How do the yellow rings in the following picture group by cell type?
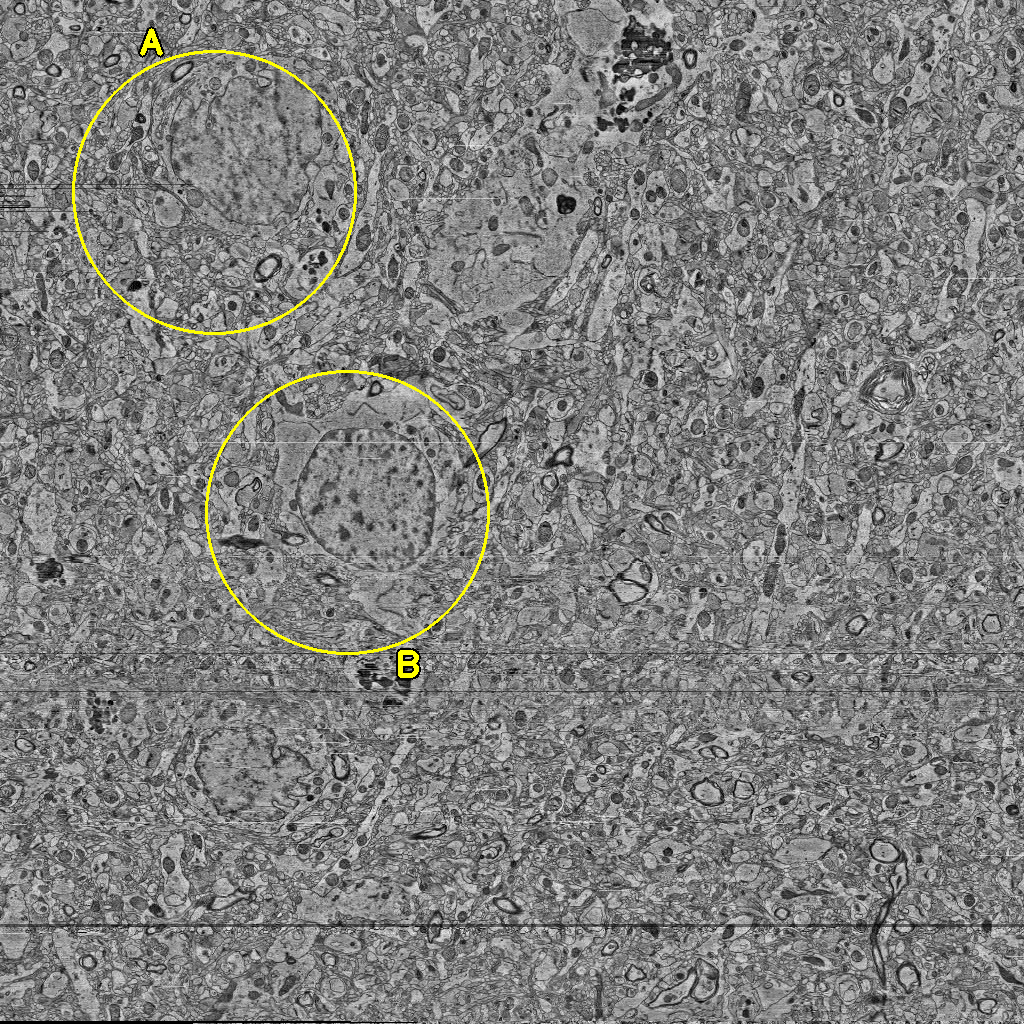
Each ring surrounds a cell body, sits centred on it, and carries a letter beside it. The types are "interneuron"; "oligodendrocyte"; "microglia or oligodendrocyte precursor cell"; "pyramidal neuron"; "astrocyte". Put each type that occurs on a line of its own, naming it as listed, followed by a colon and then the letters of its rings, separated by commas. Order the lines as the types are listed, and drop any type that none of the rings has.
interneuron: A
astrocyte: B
